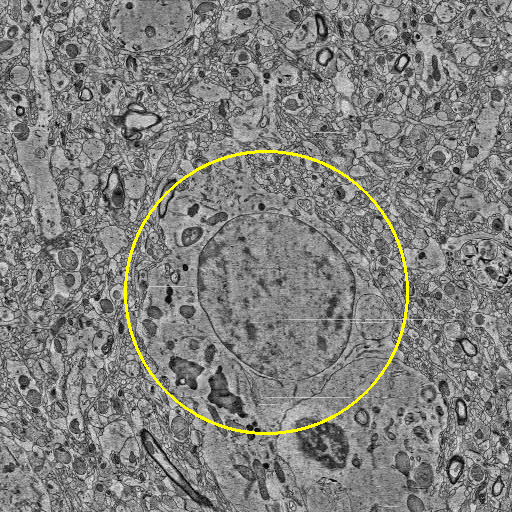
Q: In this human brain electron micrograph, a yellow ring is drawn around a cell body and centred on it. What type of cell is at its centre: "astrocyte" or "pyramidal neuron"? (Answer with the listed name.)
astrocyte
